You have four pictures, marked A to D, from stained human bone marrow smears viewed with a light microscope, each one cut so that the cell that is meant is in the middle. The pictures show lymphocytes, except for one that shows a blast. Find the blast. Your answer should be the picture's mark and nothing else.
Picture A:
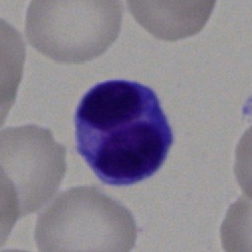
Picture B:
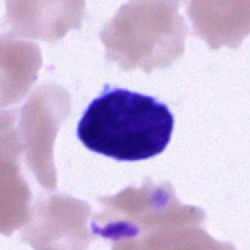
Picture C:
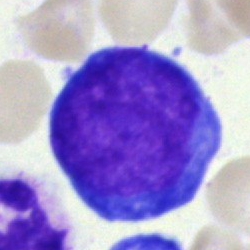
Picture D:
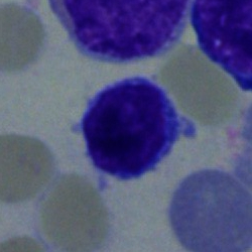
C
